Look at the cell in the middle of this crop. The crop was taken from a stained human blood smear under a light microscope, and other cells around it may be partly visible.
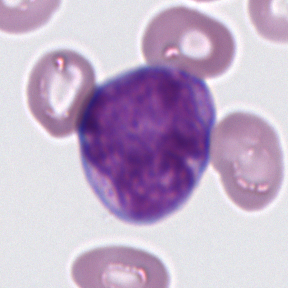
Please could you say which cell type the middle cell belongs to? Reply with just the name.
atypical promyelocyte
